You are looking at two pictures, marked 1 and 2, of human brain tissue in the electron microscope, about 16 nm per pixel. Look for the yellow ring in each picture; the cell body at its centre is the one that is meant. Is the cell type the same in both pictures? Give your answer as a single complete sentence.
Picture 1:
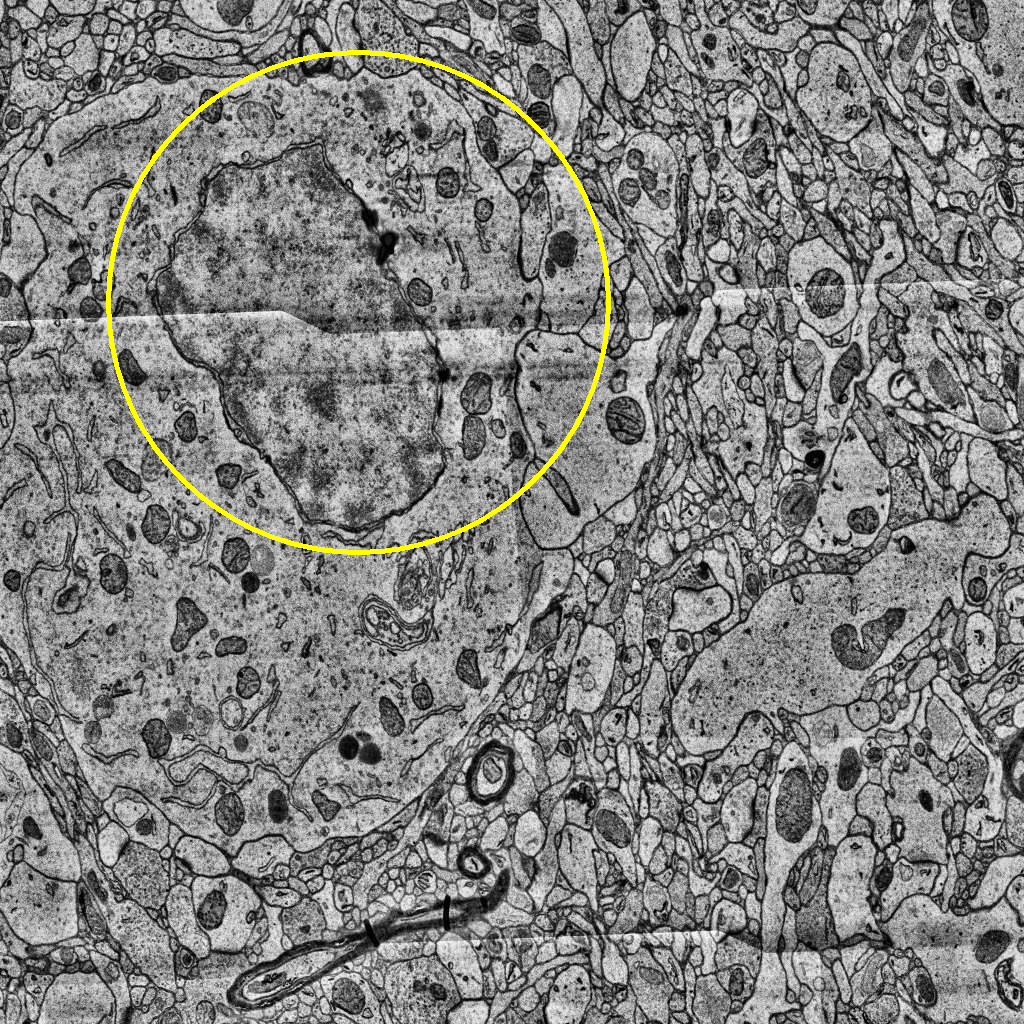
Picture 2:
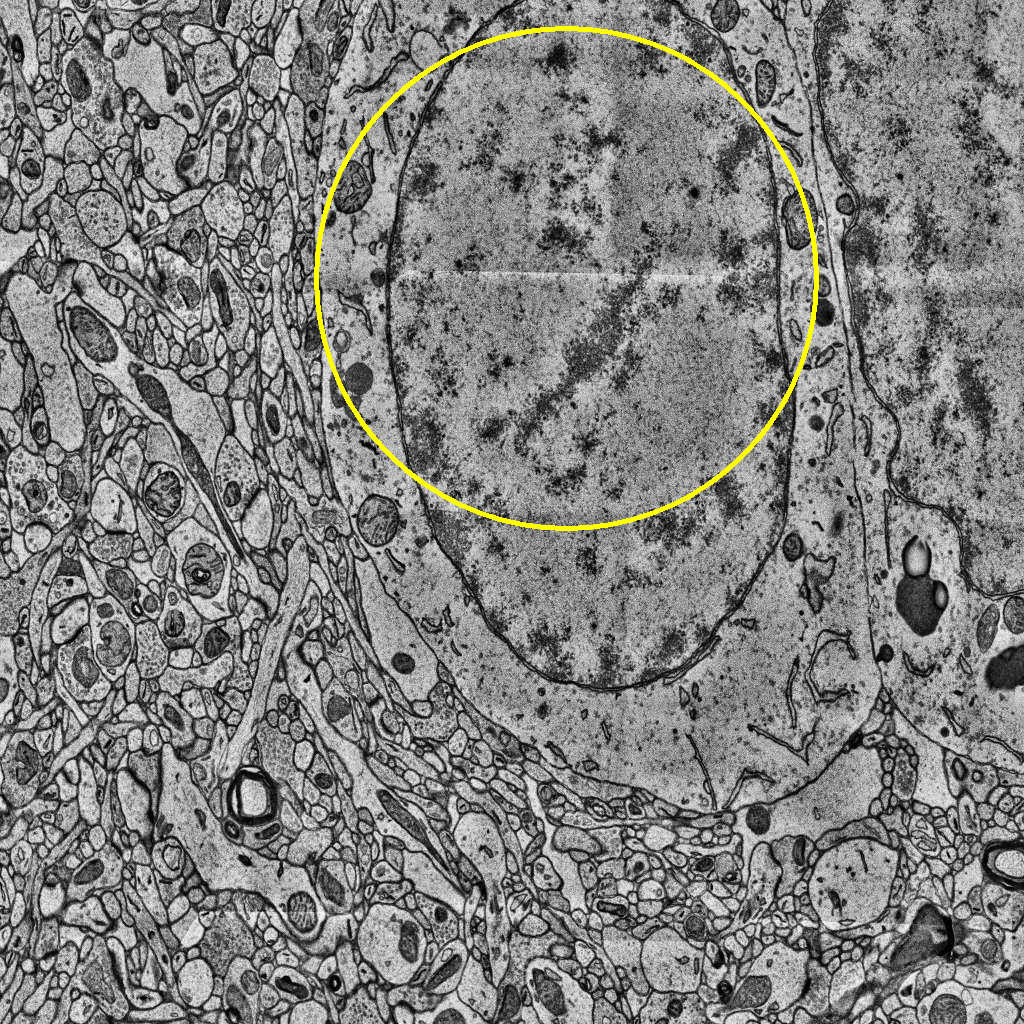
No, they differ: the cell is an interneuron in picture 1 and a pyramidal neuron in picture 2.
